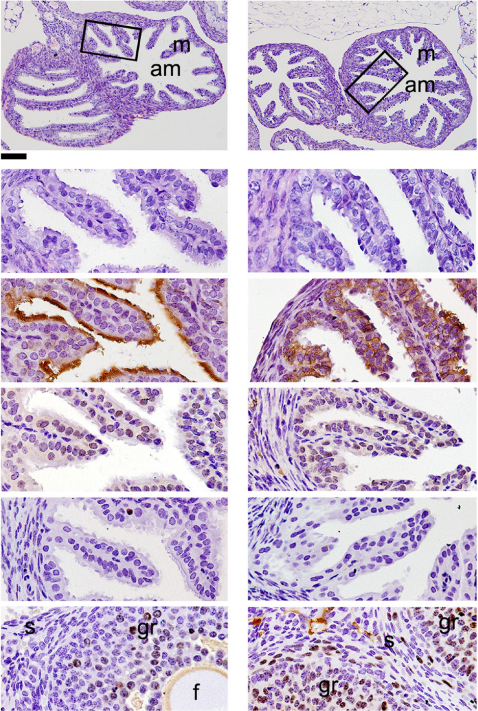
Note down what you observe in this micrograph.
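This grid shows the lining of the oviduct in two columns: at low power, the ampulla is thrown into many branching mucosal folds, and each fold is covered by a single layer of tall columnar epithelial cells with oval nuclei. In the left column, one stained row shows a thick dark brown band running continuously along the luminal surface of the folds. In the right column, the same row instead shows lighter brown within the cell bodies, without that continuous surface band. In the bottom row, a section of ovary shows densely packed granulosa cells, many with dark brown nuclei, beside paler, spindle-shaped stromal cells, and in the left column a round follicle space.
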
